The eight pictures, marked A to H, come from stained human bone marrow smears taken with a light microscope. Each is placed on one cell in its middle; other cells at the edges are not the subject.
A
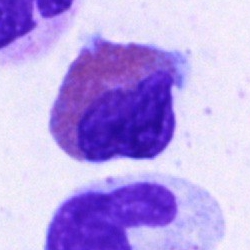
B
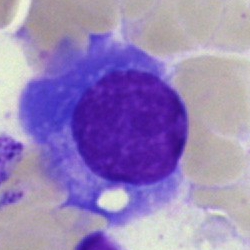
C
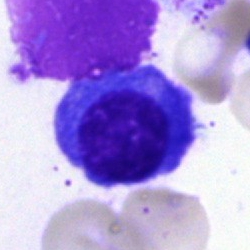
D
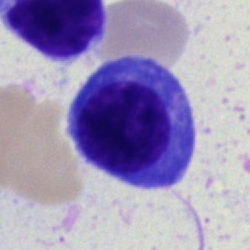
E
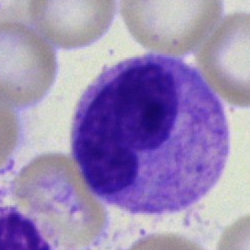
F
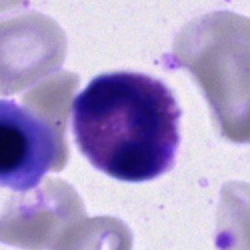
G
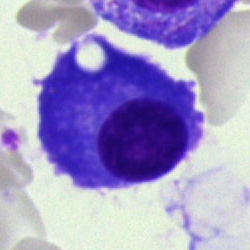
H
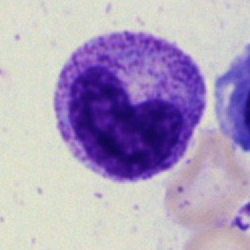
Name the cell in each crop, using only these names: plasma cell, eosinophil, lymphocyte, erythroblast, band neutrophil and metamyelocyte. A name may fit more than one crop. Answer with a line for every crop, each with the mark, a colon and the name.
A: eosinophil
B: plasma cell
C: plasma cell
D: plasma cell
E: band neutrophil
F: eosinophil
G: plasma cell
H: metamyelocyte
